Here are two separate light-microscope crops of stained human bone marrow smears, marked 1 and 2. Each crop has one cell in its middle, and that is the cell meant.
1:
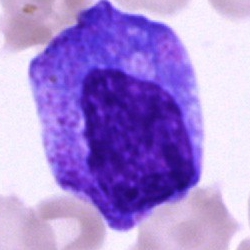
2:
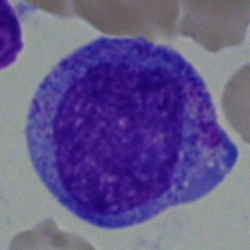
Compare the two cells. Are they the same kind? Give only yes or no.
yes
